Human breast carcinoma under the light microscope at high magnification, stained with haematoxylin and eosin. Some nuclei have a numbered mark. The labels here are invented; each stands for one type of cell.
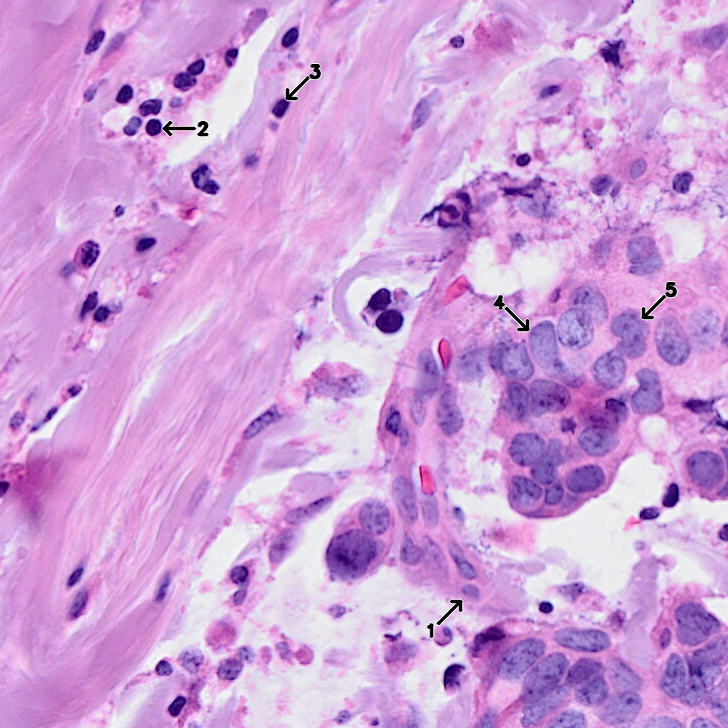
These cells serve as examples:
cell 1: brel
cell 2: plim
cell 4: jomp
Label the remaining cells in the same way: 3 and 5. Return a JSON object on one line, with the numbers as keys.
{"3": "plim", "5": "jomp"}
